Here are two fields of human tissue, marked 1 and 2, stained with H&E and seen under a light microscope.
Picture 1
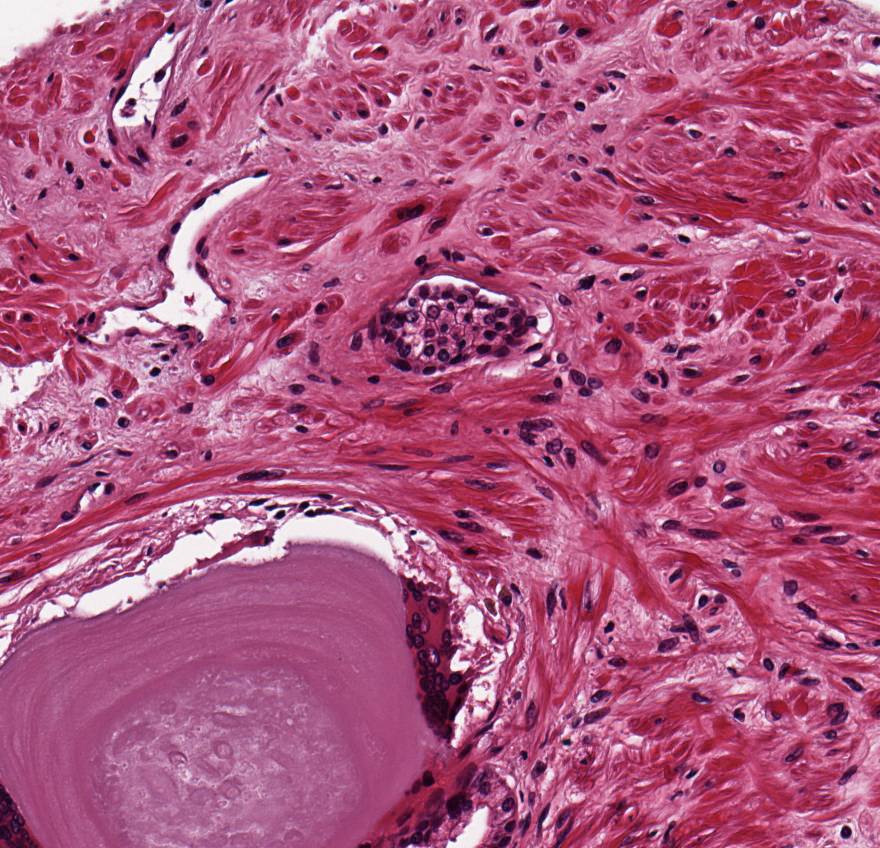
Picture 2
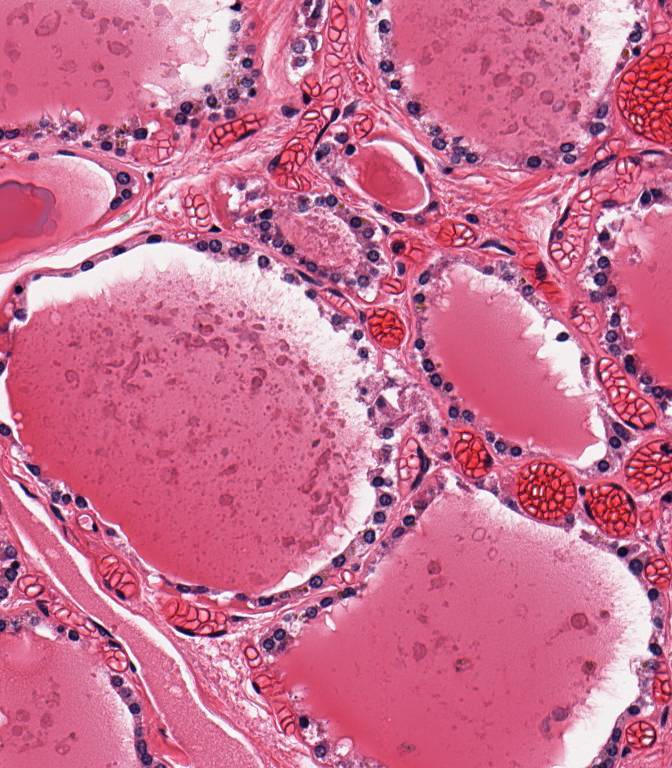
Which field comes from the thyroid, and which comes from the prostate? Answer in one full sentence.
Picture 2 comes from the thyroid, while picture 1 comes from the prostate.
